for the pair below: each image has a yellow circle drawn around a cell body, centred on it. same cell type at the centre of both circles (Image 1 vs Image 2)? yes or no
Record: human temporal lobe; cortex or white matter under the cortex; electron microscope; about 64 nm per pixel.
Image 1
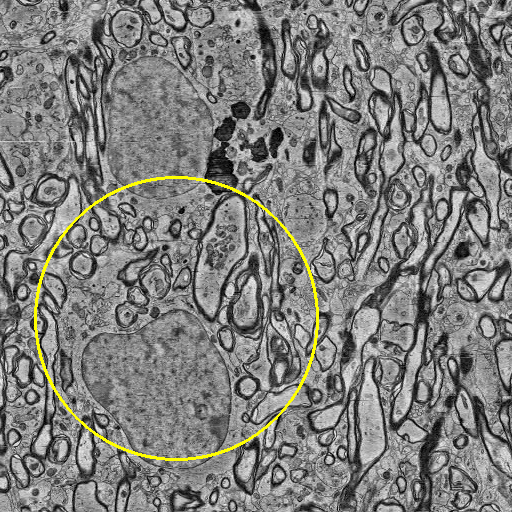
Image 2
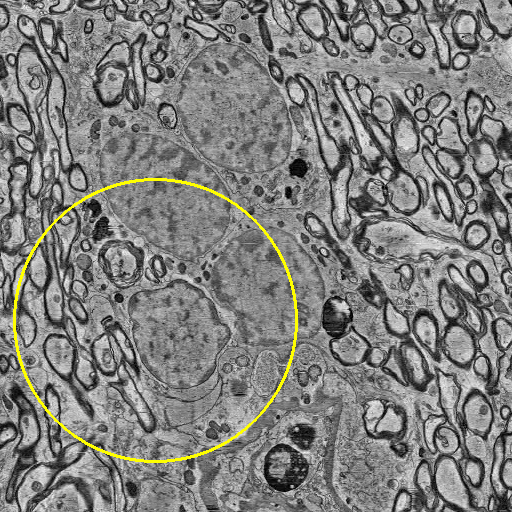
yes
